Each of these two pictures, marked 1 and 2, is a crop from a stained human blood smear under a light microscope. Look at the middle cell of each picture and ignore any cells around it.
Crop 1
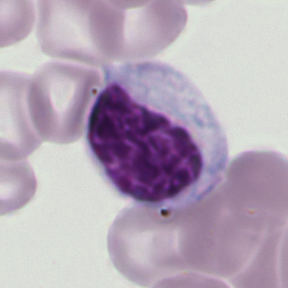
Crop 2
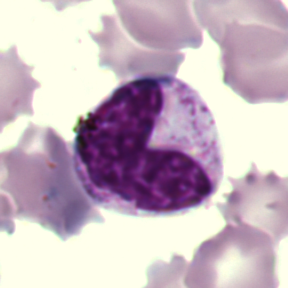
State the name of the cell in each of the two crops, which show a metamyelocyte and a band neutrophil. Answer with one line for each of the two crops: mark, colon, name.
1: metamyelocyte
2: band neutrophil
